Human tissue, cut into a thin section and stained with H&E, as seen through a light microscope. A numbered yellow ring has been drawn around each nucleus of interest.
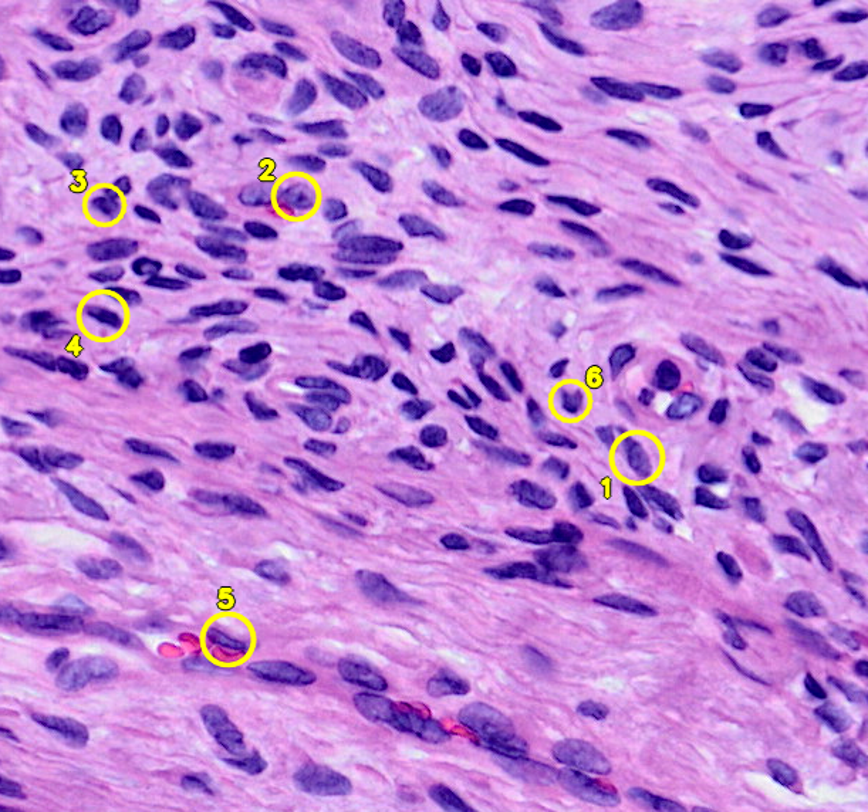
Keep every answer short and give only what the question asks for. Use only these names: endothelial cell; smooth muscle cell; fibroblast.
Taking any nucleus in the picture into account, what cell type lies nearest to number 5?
endothelial cell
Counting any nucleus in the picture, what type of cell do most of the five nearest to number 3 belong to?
fibroblast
